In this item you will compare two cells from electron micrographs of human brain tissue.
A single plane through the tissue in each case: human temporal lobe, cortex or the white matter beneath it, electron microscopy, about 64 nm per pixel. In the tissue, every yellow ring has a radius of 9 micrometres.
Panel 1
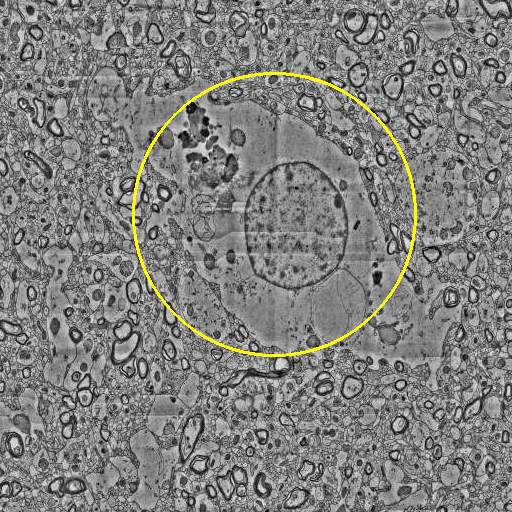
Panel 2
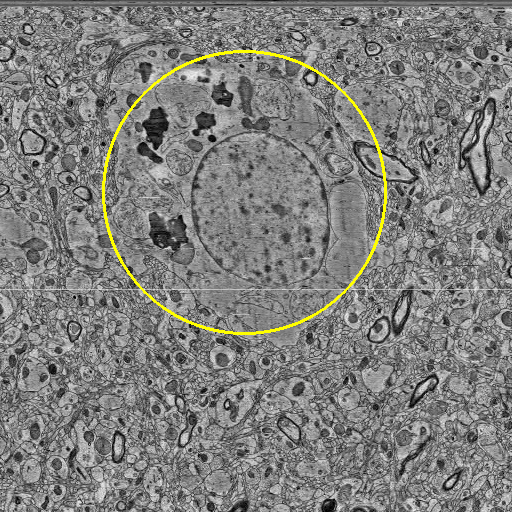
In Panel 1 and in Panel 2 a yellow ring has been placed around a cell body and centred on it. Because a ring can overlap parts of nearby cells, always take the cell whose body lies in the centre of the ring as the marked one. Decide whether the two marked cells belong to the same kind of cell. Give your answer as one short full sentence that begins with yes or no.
Yes, the two marked cells belong to the same kind of cell.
